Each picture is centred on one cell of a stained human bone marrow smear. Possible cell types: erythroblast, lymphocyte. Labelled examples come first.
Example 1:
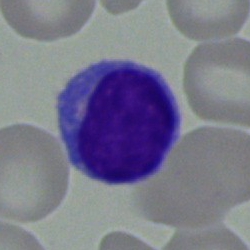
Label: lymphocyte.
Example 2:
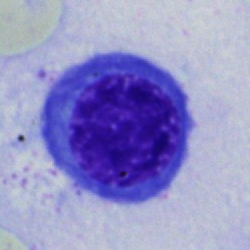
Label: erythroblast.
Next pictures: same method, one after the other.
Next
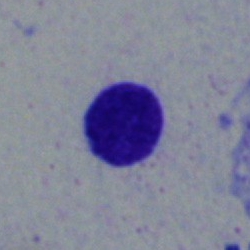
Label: lymphocyte.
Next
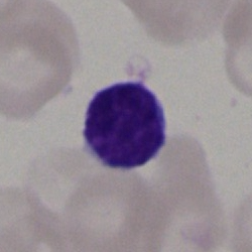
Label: lymphocyte.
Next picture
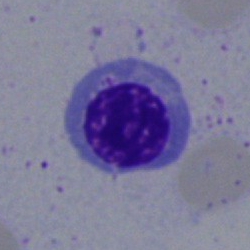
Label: erythroblast.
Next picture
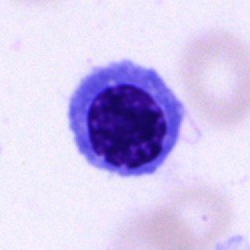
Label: erythroblast.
